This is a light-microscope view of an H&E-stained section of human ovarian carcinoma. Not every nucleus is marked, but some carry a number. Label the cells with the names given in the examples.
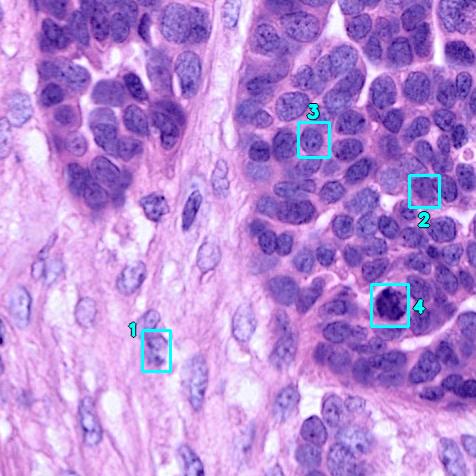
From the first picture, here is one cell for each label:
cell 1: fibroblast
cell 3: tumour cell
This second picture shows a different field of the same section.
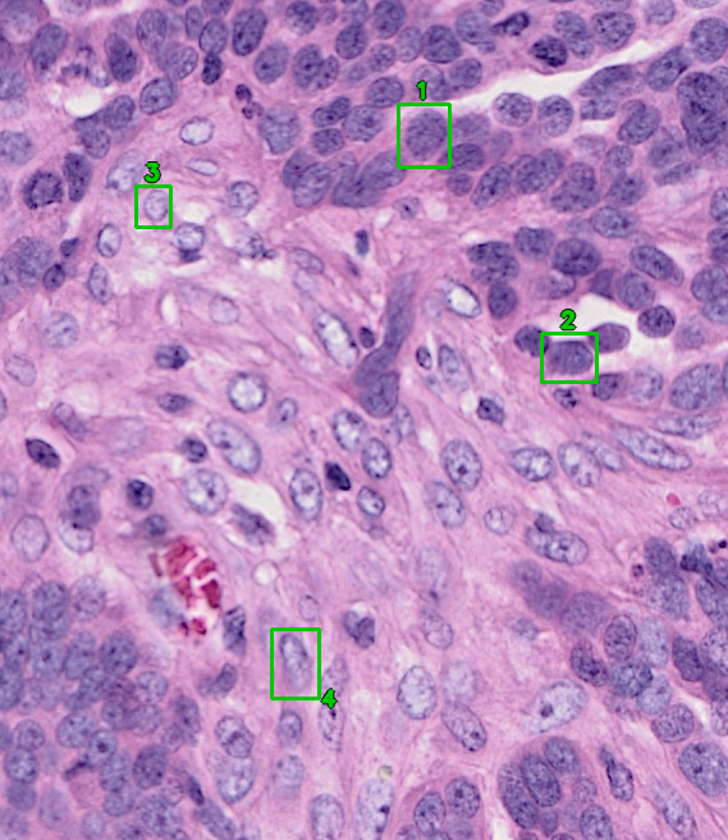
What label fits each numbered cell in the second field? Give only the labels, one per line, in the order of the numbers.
tumour cell
tumour cell
fibroblast
fibroblast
